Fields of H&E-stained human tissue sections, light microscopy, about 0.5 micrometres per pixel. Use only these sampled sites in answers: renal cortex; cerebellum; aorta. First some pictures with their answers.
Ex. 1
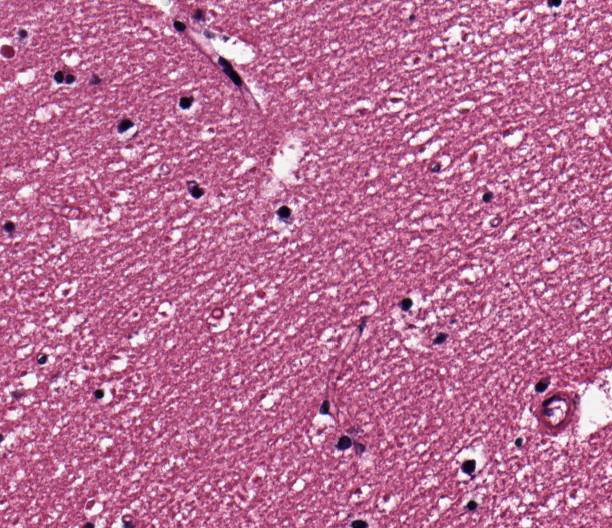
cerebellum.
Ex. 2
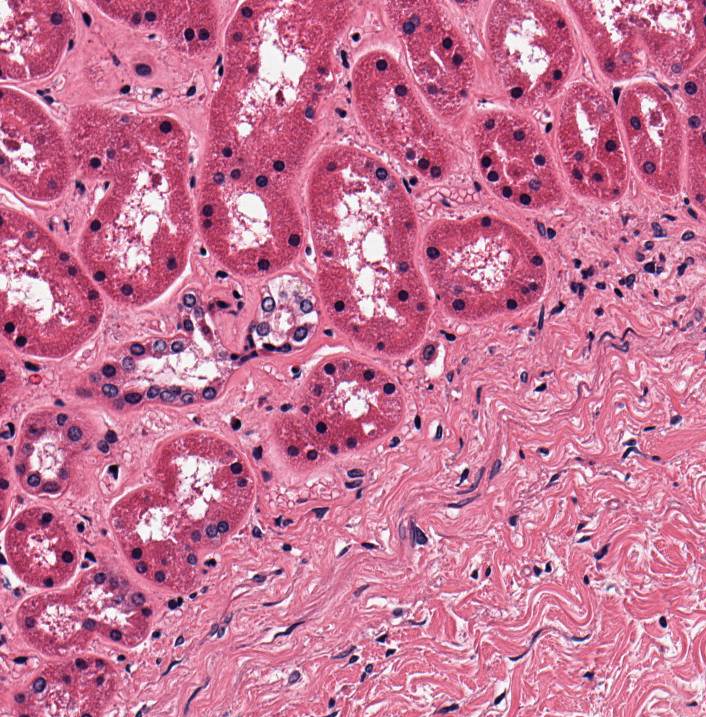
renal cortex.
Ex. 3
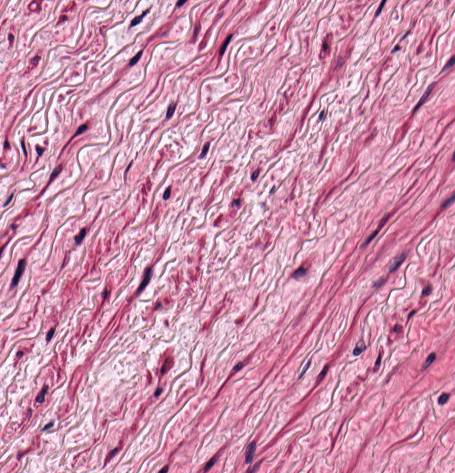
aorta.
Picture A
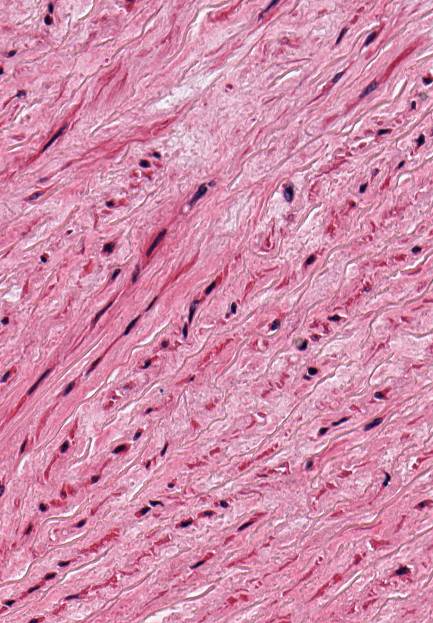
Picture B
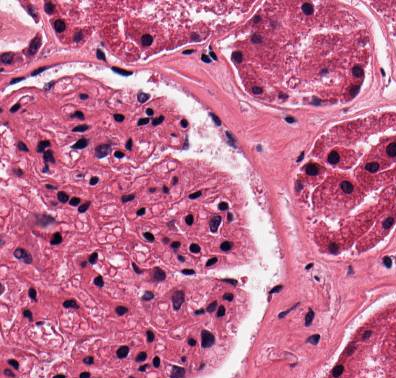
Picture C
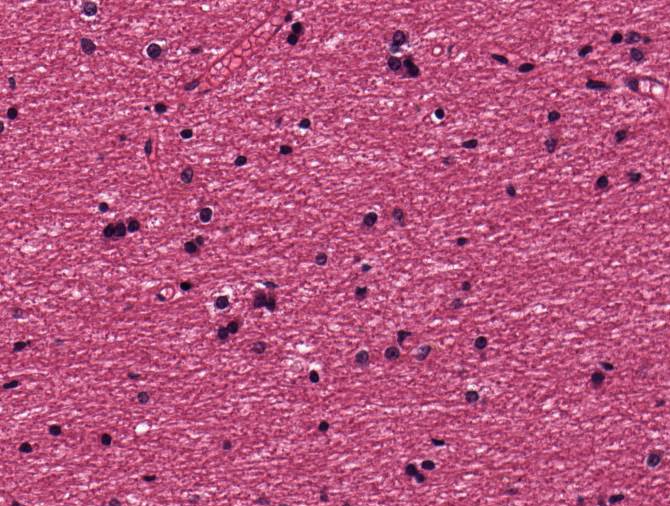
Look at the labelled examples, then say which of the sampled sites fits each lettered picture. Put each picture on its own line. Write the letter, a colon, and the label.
A: aorta.
B: renal cortex.
C: cerebellum.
